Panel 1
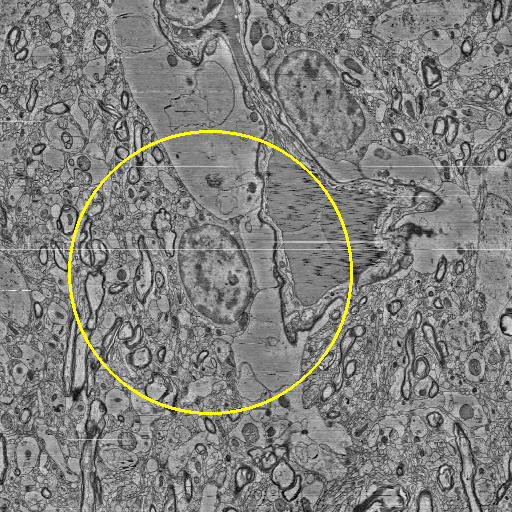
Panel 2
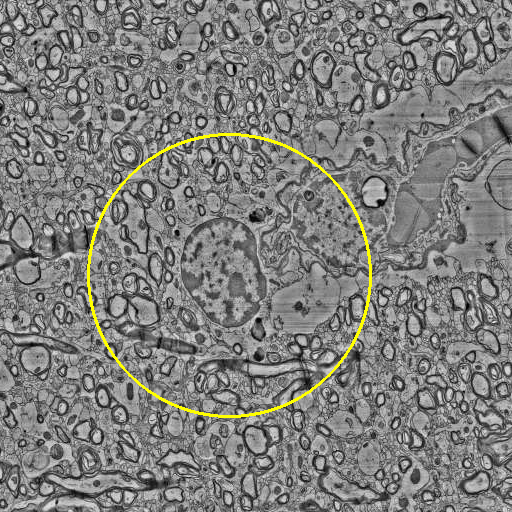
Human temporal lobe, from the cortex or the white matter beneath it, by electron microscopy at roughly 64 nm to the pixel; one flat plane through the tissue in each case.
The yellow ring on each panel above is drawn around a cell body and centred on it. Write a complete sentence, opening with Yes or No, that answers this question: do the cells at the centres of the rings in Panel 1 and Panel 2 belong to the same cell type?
No, the two cells belong to two cell types.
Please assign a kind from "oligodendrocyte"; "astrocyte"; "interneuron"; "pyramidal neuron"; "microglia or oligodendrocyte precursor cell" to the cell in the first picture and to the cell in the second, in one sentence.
In the first picture we have an oligodendrocyte, and in the second, a microglial cell or oligodendrocyte precursor cell.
